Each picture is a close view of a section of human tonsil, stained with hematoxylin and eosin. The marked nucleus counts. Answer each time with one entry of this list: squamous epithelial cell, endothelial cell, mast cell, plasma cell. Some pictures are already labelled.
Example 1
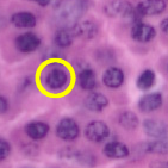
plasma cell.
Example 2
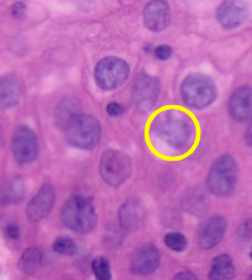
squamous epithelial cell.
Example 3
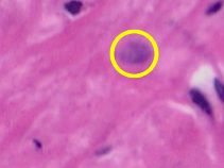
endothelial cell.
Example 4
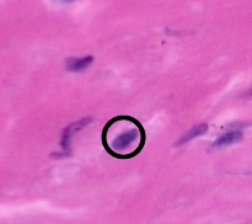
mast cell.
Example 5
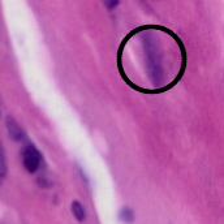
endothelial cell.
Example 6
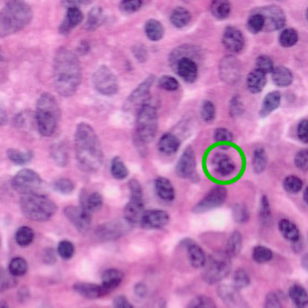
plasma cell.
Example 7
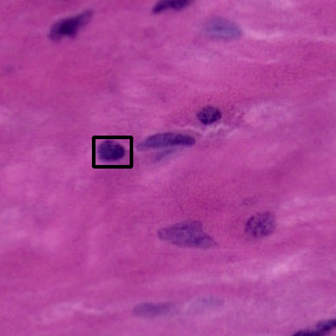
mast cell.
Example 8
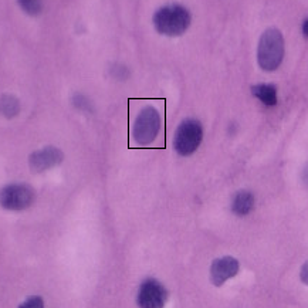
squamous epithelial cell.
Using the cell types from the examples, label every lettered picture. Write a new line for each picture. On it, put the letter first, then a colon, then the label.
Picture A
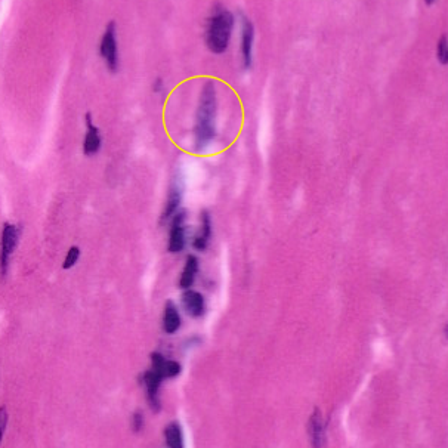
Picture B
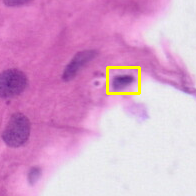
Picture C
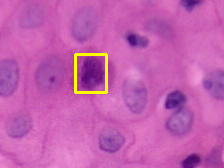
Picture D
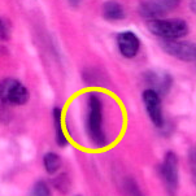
A: endothelial cell.
B: squamous epithelial cell.
C: squamous epithelial cell.
D: endothelial cell.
